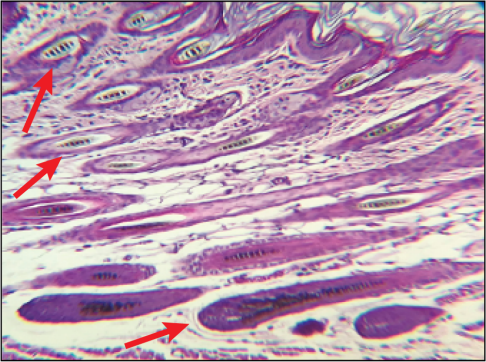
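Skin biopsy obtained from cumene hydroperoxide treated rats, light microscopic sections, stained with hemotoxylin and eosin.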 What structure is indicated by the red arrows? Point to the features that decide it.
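Hair follicles. The arrows point to elongated epithelial sheaths in the dermis. Each sheath surrounds a central striated, pigmented hair shaft. Many such structures run in parallel at an oblique angle.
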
